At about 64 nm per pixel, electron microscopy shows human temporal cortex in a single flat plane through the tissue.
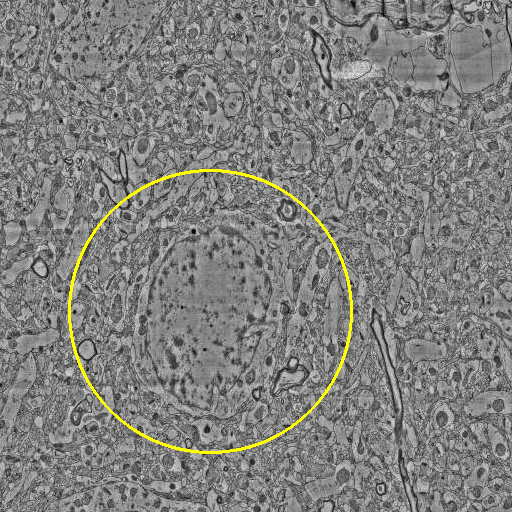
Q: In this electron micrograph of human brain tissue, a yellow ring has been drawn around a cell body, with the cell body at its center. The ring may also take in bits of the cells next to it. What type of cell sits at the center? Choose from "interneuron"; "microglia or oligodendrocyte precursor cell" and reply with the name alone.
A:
interneuron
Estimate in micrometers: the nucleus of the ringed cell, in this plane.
Approximately 12 x 8 micrometres in this plane.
